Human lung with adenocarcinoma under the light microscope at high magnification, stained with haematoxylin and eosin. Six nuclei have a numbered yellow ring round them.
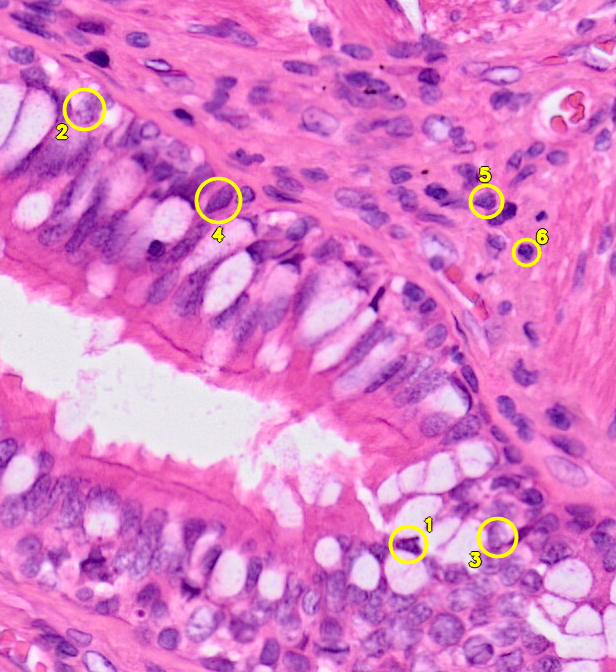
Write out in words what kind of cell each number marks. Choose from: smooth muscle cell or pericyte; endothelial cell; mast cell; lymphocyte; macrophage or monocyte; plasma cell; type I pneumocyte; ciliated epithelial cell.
Cell 1 is a ciliated epithelial cell, cell 2 is a ciliated epithelial cell, cell 3 is a ciliated epithelial cell, cell 4 is a ciliated epithelial cell, cell 5 is a lymphocyte and cell 6 is a lymphocyte.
